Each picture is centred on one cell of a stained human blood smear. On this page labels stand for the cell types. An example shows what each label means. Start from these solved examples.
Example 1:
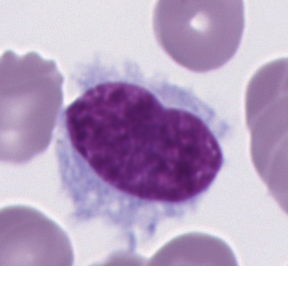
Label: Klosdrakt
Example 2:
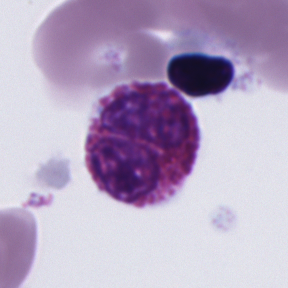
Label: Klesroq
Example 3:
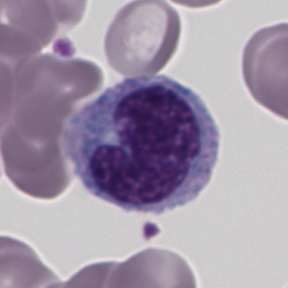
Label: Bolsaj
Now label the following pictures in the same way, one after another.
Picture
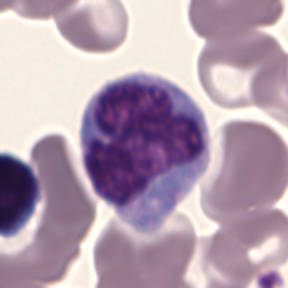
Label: Bolsaj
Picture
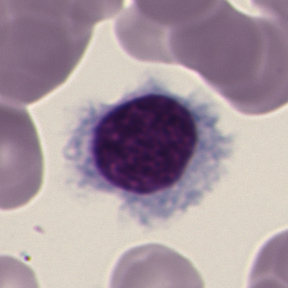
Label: Klosdrakt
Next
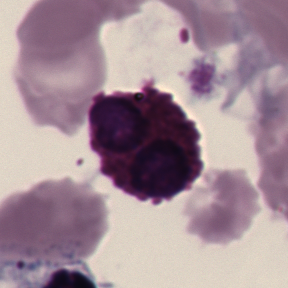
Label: Klesroq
